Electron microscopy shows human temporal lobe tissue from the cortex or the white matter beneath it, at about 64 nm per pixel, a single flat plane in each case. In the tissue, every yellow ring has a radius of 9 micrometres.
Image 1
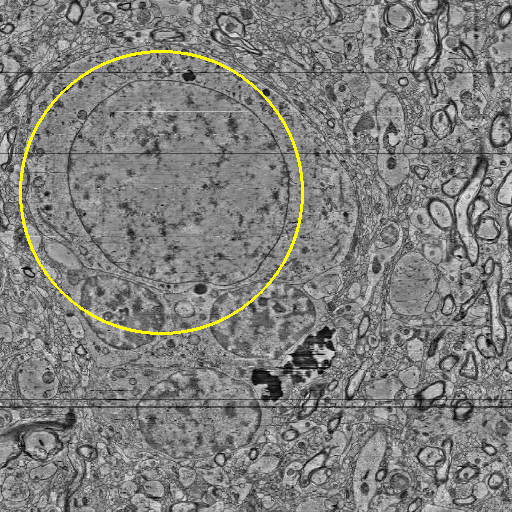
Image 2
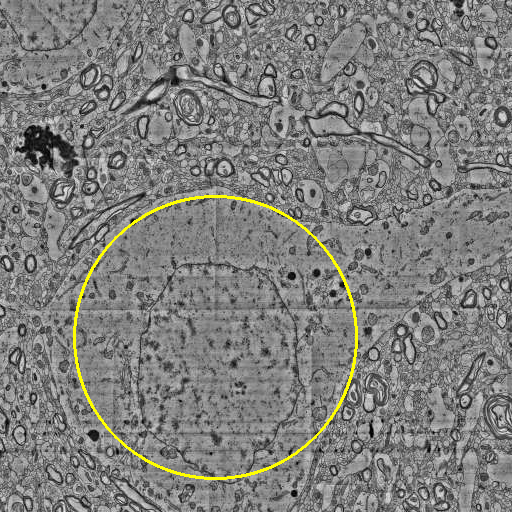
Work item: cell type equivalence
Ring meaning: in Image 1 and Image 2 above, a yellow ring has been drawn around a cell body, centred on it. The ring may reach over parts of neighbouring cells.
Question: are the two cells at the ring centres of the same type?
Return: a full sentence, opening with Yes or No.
Yes, the two centred cells are of the same type.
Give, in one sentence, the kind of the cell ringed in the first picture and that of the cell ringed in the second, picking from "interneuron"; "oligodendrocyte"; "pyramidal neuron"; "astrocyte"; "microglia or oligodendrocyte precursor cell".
Each of the two pictures has a pyramidal neuron at the ring centre.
